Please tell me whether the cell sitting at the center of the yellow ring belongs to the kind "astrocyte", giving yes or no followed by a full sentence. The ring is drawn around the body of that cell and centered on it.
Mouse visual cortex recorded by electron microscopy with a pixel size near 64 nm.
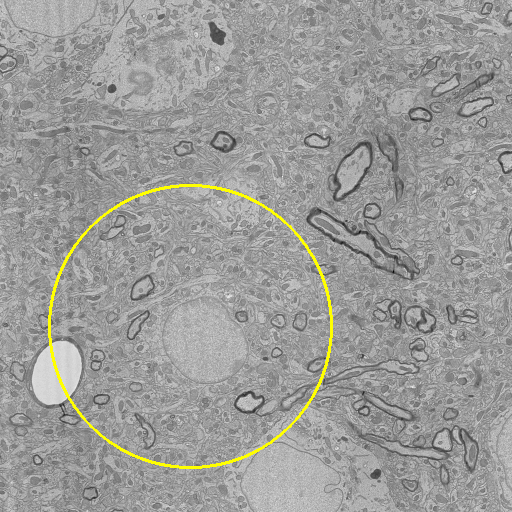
Yes, the cell at the center of the ring in the picture is of that kind.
